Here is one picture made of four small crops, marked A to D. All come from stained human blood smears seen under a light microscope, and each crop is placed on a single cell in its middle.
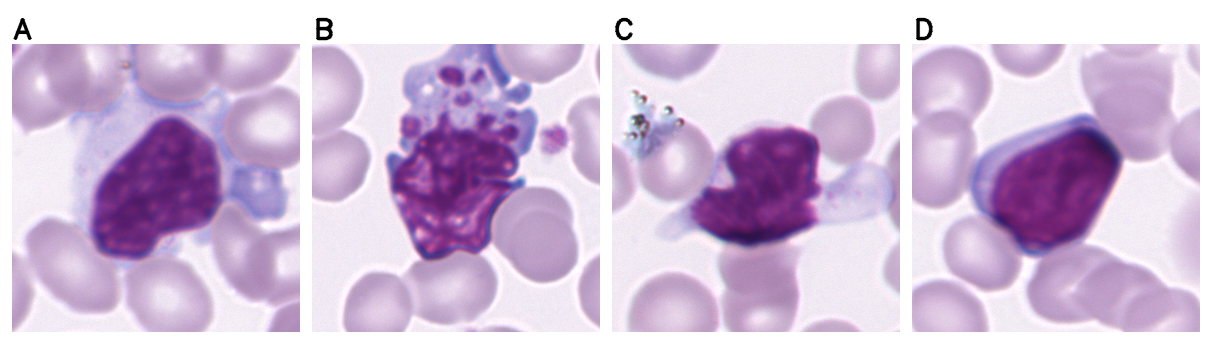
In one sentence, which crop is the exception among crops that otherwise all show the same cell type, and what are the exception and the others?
All of the other crops show typical lymphocytes; crop C, by contrast, is a large granular lymphocyte.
